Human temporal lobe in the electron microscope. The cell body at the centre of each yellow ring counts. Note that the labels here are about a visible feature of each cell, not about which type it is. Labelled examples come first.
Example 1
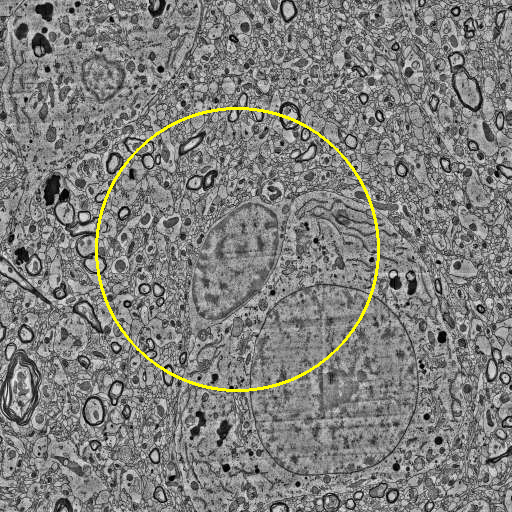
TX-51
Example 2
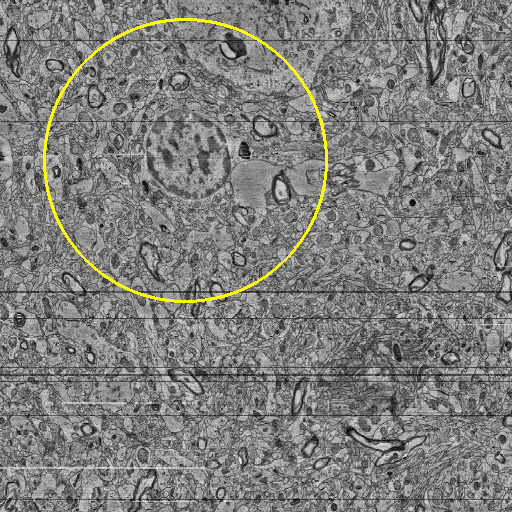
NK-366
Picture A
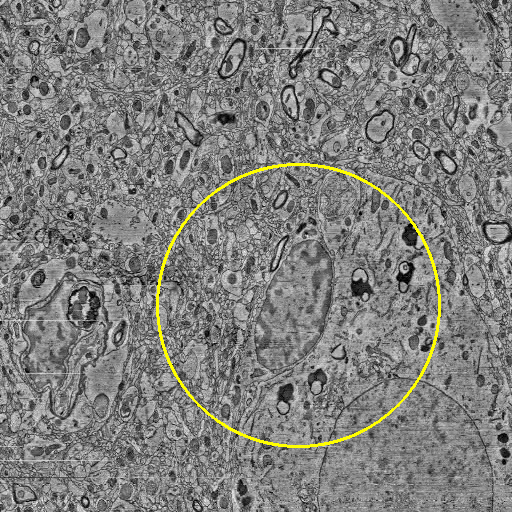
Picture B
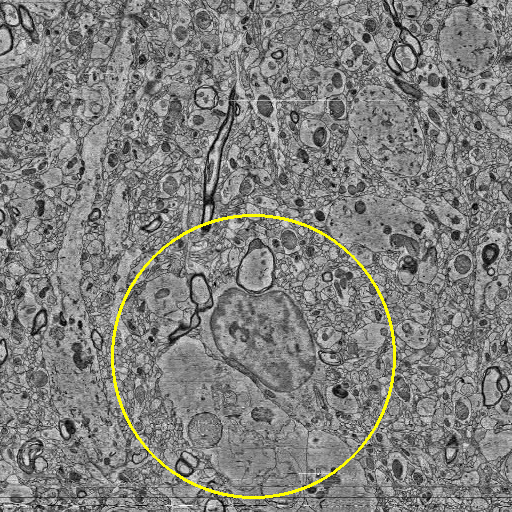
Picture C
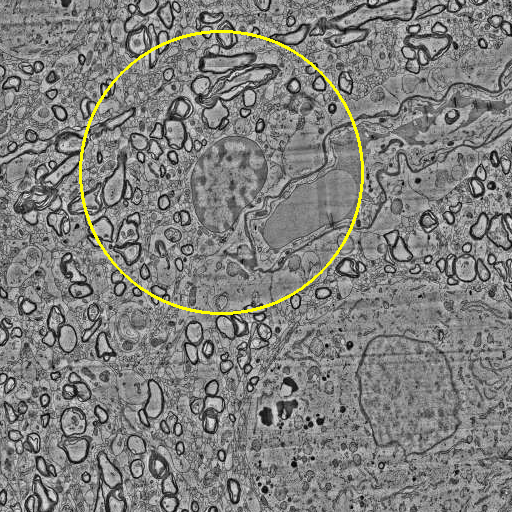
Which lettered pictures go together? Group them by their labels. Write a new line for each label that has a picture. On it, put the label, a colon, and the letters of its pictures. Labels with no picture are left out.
TX-51: A, B
NK-366: C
